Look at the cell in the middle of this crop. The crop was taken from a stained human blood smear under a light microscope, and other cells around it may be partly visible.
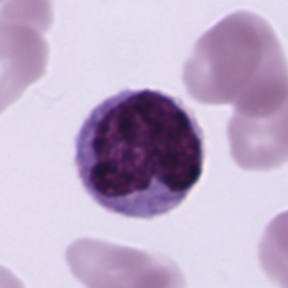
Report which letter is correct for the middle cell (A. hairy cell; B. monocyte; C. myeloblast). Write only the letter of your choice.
B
